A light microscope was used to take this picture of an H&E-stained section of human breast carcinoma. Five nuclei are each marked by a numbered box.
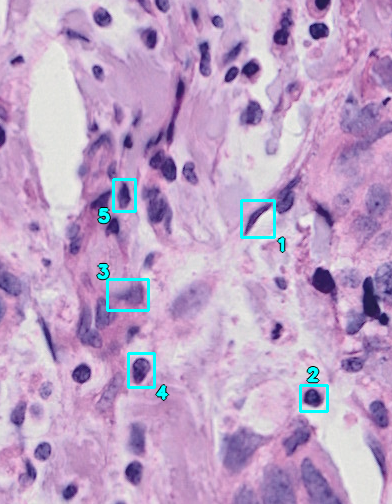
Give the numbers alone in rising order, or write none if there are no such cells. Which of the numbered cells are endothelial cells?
3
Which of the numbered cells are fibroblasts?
1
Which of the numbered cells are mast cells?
2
